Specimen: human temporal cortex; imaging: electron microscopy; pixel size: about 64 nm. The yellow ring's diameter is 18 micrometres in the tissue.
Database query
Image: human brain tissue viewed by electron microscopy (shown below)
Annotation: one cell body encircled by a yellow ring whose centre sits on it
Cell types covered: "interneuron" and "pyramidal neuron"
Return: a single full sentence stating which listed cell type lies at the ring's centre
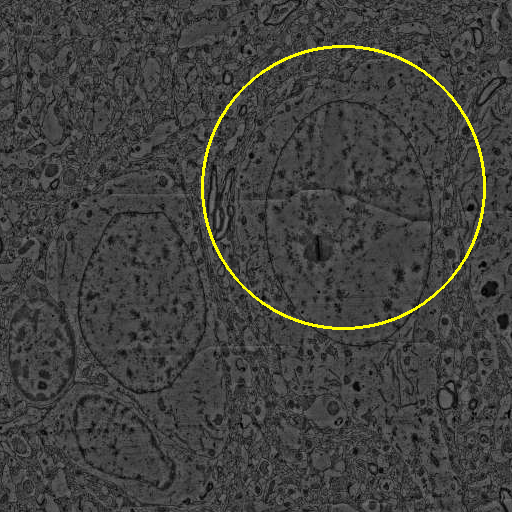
In the image, the cell lying at the ring's centre is a pyramidal neuron.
